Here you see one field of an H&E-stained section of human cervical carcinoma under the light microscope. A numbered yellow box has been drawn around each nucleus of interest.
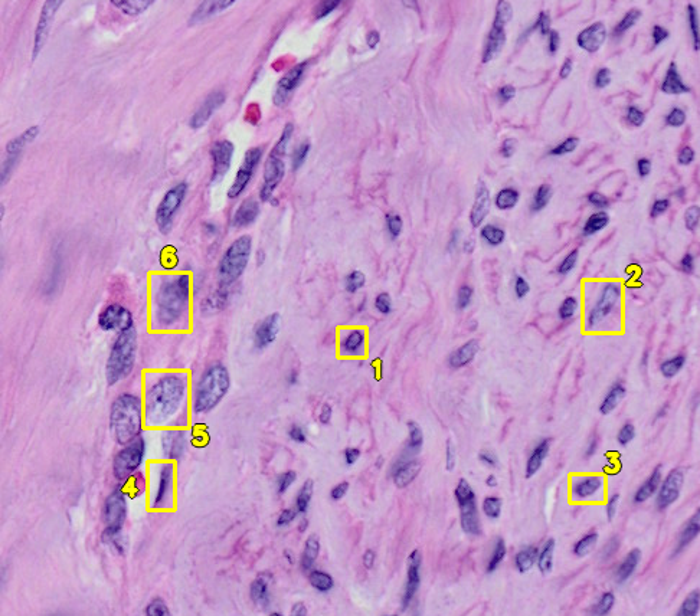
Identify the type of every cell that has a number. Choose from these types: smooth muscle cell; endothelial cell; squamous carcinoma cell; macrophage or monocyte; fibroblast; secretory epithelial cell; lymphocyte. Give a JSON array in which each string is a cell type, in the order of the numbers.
["smooth muscle cell", "smooth muscle cell", "smooth muscle cell", "endothelial cell", "endothelial cell", "endothelial cell"]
